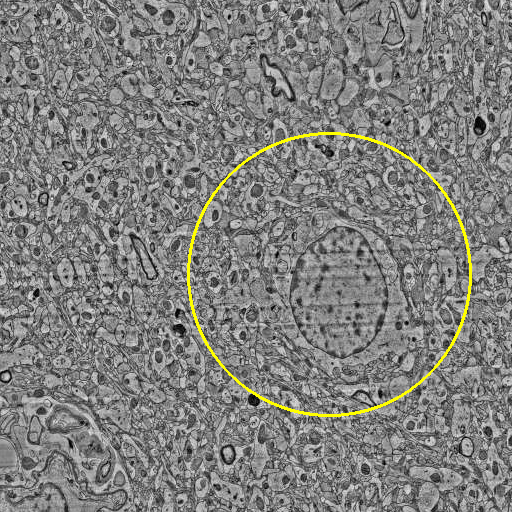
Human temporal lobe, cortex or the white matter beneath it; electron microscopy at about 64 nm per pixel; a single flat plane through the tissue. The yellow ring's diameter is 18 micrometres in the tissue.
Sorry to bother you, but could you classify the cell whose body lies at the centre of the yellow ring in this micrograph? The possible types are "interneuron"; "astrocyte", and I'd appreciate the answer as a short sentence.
The ringed cell body is that of an astrocyte.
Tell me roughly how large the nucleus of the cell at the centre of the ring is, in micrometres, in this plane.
The ringed cell's nucleus measures approximately 8 by 6 micrometres in this plane.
